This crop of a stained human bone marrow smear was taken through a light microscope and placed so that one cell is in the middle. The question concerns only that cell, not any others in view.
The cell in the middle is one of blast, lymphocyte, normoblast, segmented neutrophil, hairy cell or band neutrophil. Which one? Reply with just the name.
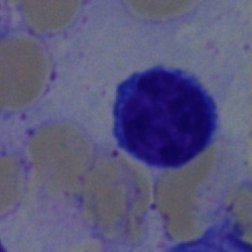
lymphocyte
